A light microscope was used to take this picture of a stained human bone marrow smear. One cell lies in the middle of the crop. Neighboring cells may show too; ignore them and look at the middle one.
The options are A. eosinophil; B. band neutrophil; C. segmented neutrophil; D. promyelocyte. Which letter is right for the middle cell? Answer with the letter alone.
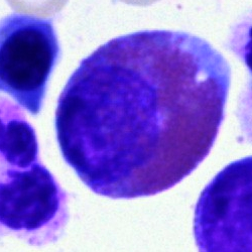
A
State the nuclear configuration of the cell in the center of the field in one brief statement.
Please observe that the nucleus consists of one compact round, oval or kidney-shaped mass.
